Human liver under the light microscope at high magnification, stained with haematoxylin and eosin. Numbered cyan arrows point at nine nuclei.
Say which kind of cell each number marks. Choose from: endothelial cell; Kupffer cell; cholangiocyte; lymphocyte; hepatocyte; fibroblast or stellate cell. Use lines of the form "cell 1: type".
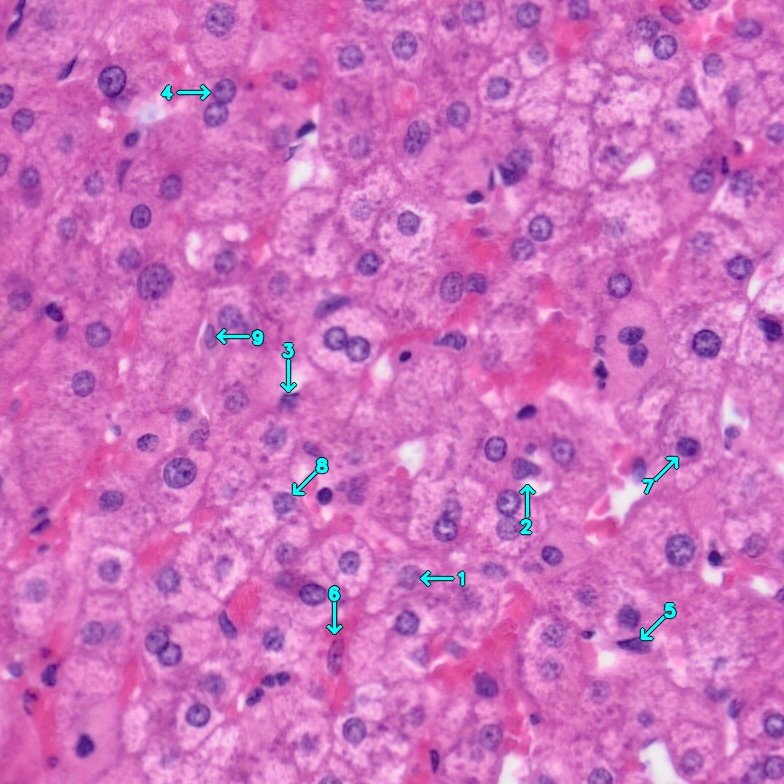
cell 1: hepatocyte
cell 2: Kupffer cell
cell 3: endothelial cell
cell 4: hepatocyte
cell 5: fibroblast or stellate cell
cell 6: Kupffer cell
cell 7: hepatocyte
cell 8: hepatocyte
cell 9: Kupffer cell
